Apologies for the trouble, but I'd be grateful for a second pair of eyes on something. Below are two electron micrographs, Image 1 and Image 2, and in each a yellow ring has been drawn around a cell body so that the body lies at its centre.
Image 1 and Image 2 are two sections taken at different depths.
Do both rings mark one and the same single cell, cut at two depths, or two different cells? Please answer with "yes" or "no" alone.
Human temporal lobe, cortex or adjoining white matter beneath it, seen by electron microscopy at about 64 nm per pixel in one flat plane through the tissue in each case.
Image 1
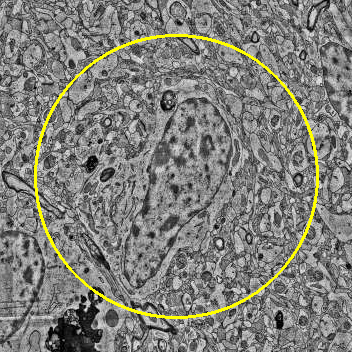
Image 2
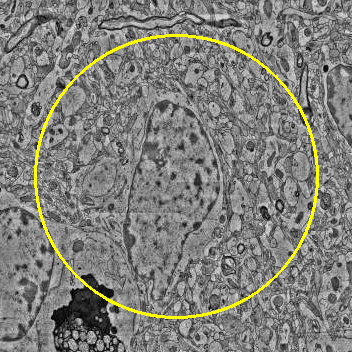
yes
